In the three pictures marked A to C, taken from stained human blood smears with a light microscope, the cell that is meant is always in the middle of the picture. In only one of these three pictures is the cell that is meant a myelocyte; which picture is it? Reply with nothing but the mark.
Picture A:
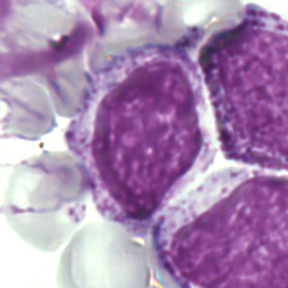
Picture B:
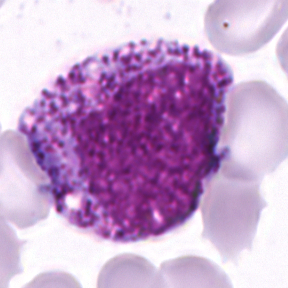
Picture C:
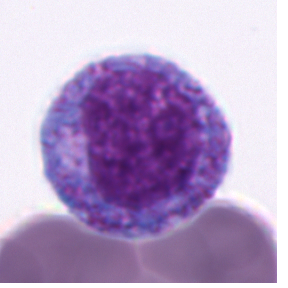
A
